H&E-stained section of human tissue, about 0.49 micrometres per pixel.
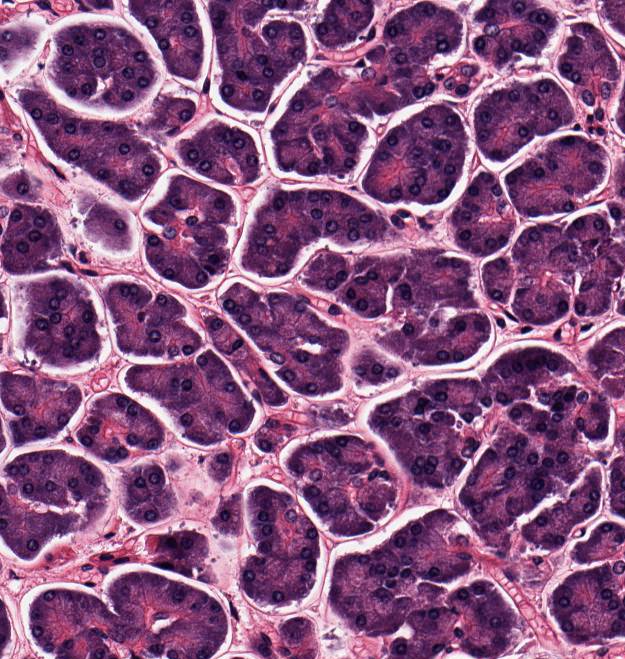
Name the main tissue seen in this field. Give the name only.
exocrine pancreas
